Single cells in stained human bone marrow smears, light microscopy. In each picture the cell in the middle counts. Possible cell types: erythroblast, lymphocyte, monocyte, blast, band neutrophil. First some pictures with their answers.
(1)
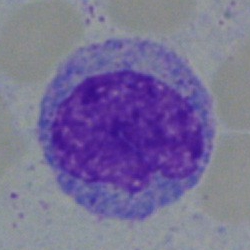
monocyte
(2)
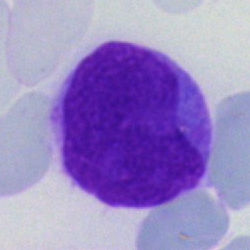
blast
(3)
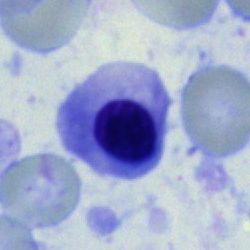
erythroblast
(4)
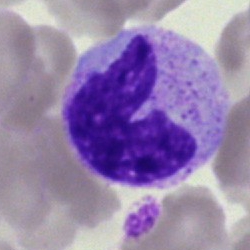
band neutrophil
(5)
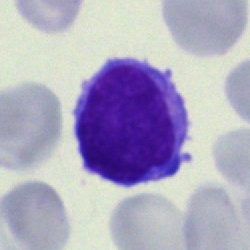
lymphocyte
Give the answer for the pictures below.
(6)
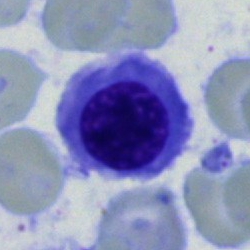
erythroblast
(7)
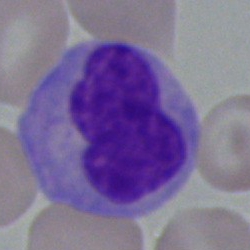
monocyte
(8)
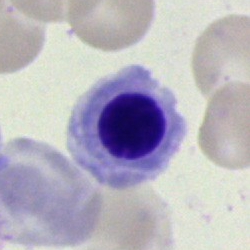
erythroblast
